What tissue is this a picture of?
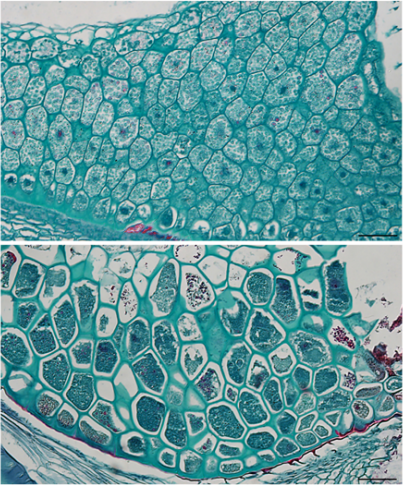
Seeds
